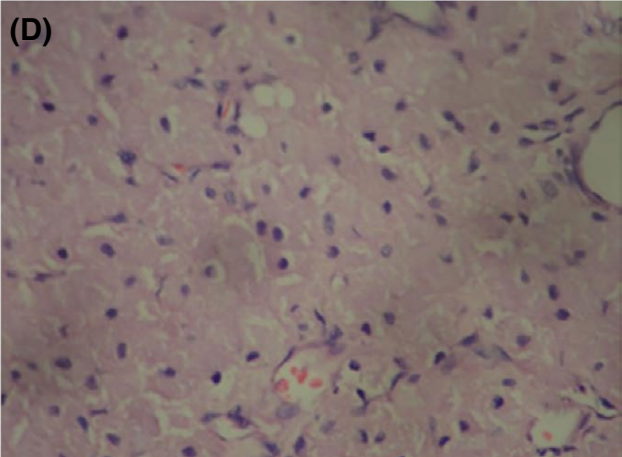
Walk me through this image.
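This field is filled with large granular cells lying in a broad sheet. Each cell has abundant pink cytoplasm, and the borders between neighbouring cells are hard to make out, so the cytoplasm seems to run together. The nuclei are small, round to oval and stain dark purple, and they are spaced fairly evenly across the field. A few small vessels with red blood cells lie between the cells, along with some thin, elongated dark nuclei.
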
